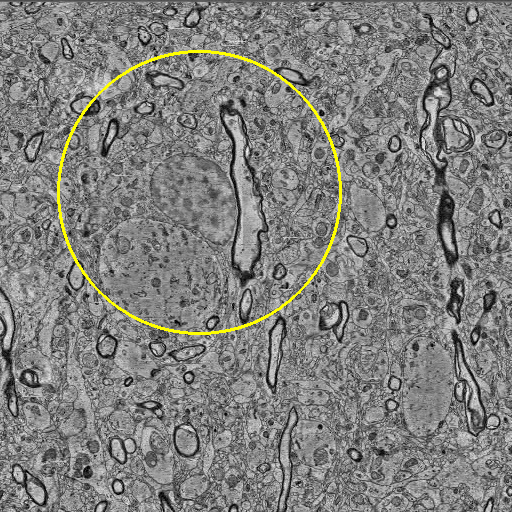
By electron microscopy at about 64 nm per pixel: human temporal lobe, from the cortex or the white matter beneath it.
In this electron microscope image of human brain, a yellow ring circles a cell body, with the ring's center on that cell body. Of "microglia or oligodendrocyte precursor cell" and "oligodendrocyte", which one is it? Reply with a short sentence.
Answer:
It is an oligodendrocyte at the center of the ring.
